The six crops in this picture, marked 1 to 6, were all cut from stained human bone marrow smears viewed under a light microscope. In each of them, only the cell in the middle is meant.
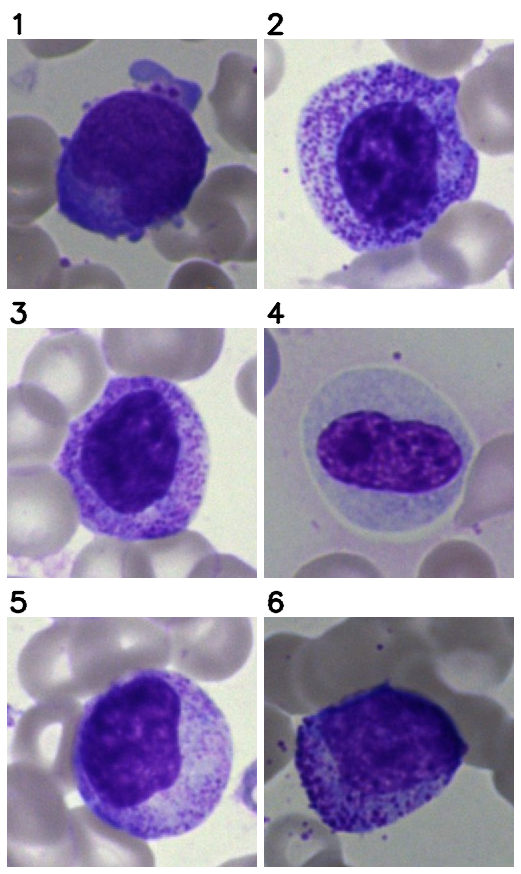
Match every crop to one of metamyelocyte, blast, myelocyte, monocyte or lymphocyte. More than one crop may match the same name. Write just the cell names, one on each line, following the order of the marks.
blast
myelocyte
myelocyte
metamyelocyte
myelocyte
myelocyte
